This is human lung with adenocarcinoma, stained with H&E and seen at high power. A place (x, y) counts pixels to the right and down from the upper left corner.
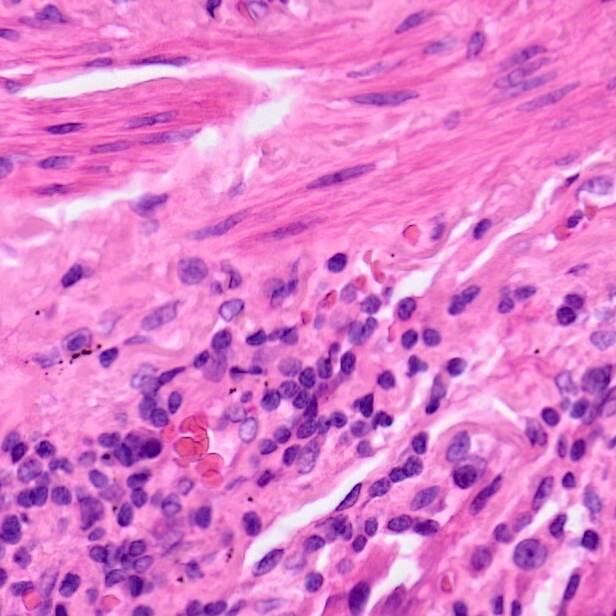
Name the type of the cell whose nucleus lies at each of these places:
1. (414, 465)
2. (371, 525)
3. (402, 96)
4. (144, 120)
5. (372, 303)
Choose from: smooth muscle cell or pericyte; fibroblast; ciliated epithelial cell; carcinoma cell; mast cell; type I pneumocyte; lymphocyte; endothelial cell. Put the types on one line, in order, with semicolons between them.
lymphocyte; lymphocyte; smooth muscle cell or pericyte; smooth muscle cell or pericyte; lymphocyte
